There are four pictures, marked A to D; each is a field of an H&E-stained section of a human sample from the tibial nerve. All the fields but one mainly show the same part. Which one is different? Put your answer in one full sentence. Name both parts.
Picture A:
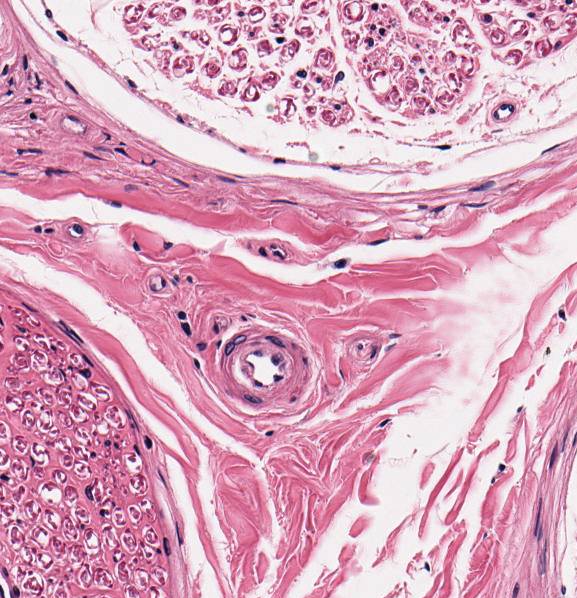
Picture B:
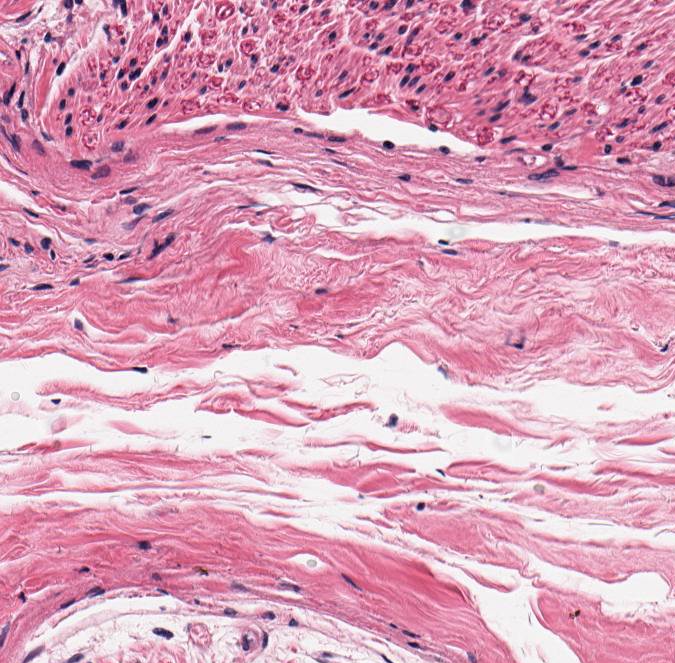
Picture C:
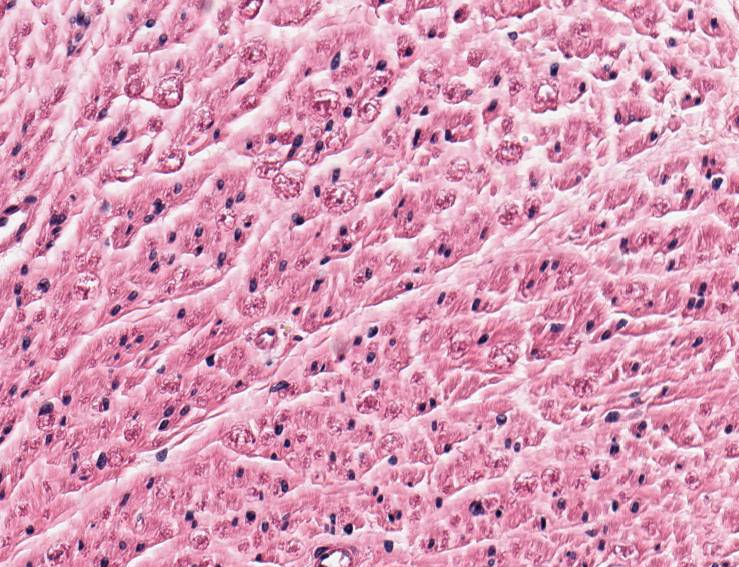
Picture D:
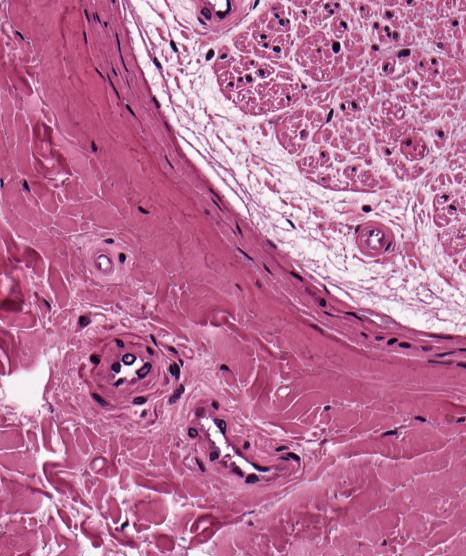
All pictures except C mainly show the epineurium; picture C mainly shows nerve fascicles.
